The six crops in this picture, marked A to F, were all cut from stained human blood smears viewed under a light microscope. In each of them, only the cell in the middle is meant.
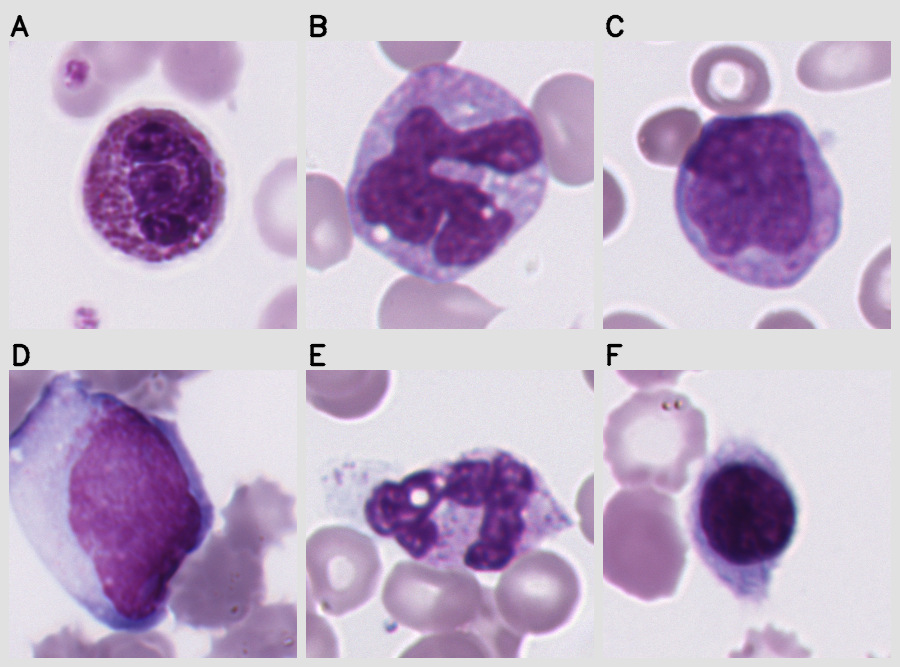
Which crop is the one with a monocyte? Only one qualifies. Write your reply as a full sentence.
Crop B is the one in this set that shows a monocyte.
